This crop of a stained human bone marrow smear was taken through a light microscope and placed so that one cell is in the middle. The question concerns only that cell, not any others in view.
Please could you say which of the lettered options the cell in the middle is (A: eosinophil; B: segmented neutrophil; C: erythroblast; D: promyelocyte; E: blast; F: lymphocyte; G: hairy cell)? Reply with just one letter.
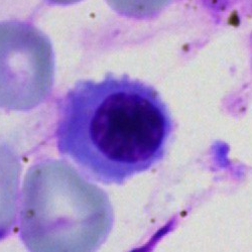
C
